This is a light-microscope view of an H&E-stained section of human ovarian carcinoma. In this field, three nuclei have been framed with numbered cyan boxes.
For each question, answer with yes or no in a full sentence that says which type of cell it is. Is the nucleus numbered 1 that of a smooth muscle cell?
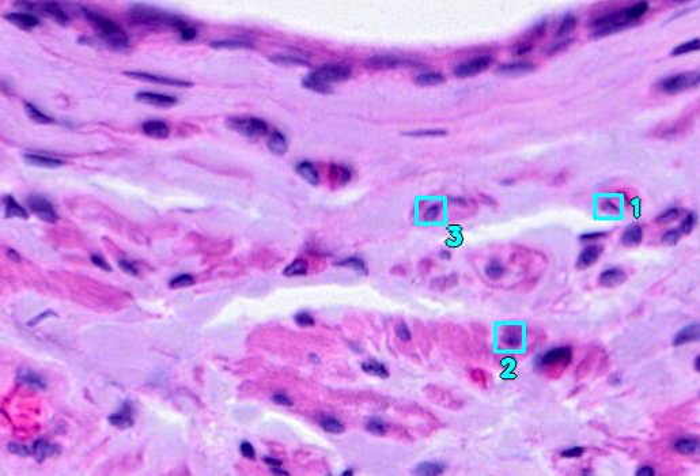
No, the identification of cell 1 as a smooth muscle cell is incorrect; it is an endothelial cell.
